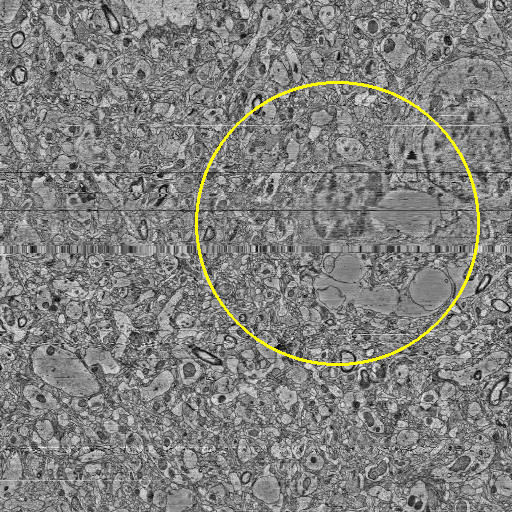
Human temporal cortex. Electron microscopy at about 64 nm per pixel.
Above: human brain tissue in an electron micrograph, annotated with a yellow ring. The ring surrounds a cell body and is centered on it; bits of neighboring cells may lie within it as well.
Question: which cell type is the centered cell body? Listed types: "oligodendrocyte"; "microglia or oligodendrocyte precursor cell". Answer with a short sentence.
The centered cell body is an oligodendrocyte.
